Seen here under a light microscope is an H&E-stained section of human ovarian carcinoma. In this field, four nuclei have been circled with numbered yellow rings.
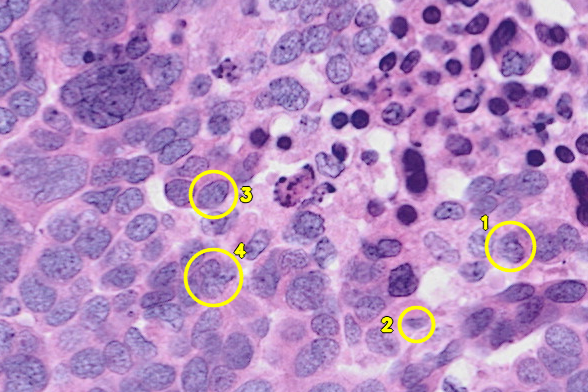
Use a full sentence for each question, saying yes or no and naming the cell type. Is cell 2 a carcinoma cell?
No, the cell labelled 2 is a macrophage or monocyte and not a carcinoma cell.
